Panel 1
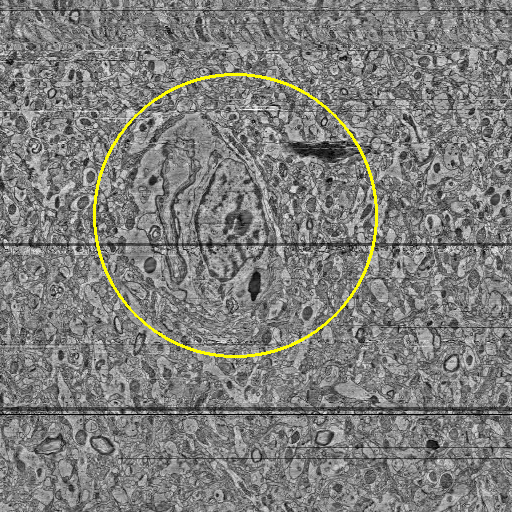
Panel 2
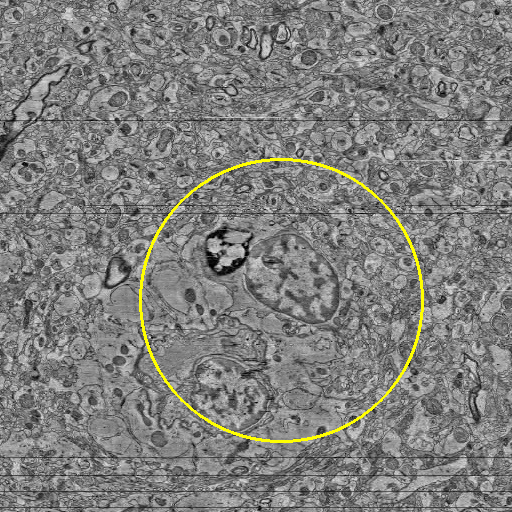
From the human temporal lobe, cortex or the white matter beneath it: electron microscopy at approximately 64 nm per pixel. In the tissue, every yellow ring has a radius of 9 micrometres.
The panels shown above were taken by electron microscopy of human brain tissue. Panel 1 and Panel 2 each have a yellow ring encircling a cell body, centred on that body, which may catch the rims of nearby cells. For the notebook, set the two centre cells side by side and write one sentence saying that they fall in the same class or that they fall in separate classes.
The centred cells of Panel 1 and Panel 2 fall in the same class.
